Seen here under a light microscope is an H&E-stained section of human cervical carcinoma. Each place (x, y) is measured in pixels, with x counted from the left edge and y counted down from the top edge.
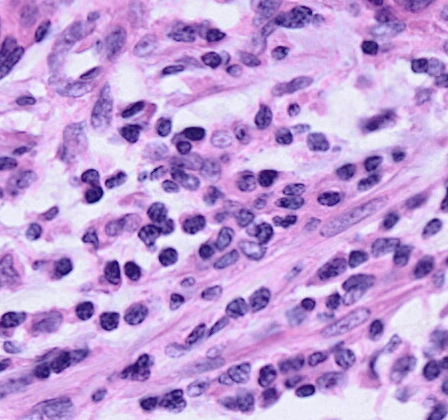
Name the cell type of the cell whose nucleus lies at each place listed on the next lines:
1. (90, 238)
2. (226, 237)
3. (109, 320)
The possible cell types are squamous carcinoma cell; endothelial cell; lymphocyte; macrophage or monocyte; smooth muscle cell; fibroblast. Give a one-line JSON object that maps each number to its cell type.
{"1": "lymphocyte", "2": "endothelial cell", "3": "lymphocyte"}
